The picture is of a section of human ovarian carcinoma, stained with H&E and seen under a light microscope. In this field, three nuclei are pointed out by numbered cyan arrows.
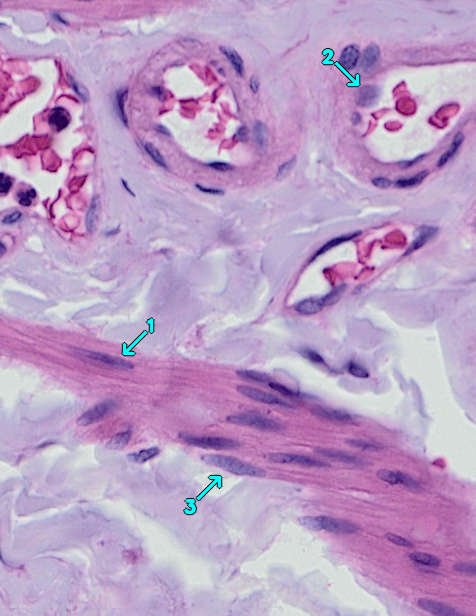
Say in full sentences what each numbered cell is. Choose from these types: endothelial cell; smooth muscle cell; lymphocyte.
Cell 1 is a smooth muscle cell, cell 2 is an endothelial cell and cell 3 is a smooth muscle cell.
